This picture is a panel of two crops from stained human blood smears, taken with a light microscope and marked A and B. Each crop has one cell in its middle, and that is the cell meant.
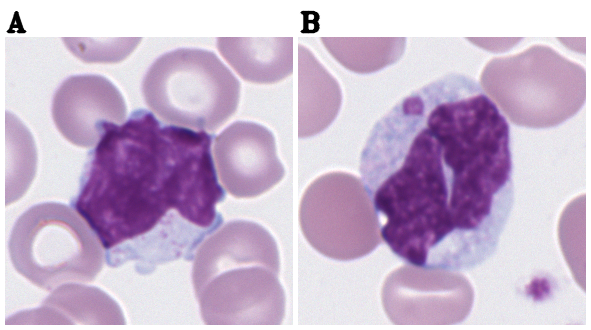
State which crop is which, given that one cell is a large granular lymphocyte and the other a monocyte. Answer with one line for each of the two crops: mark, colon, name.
A: large granular lymphocyte
B: monocyte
